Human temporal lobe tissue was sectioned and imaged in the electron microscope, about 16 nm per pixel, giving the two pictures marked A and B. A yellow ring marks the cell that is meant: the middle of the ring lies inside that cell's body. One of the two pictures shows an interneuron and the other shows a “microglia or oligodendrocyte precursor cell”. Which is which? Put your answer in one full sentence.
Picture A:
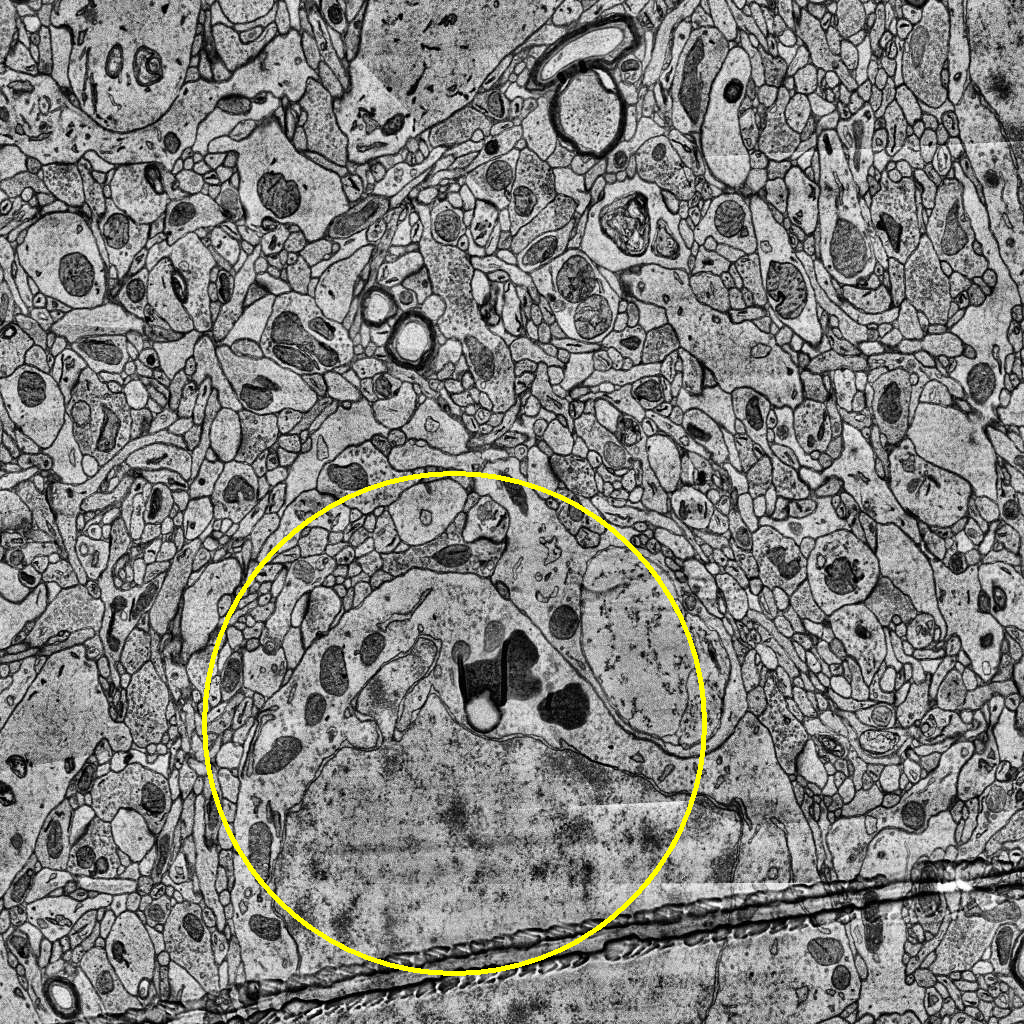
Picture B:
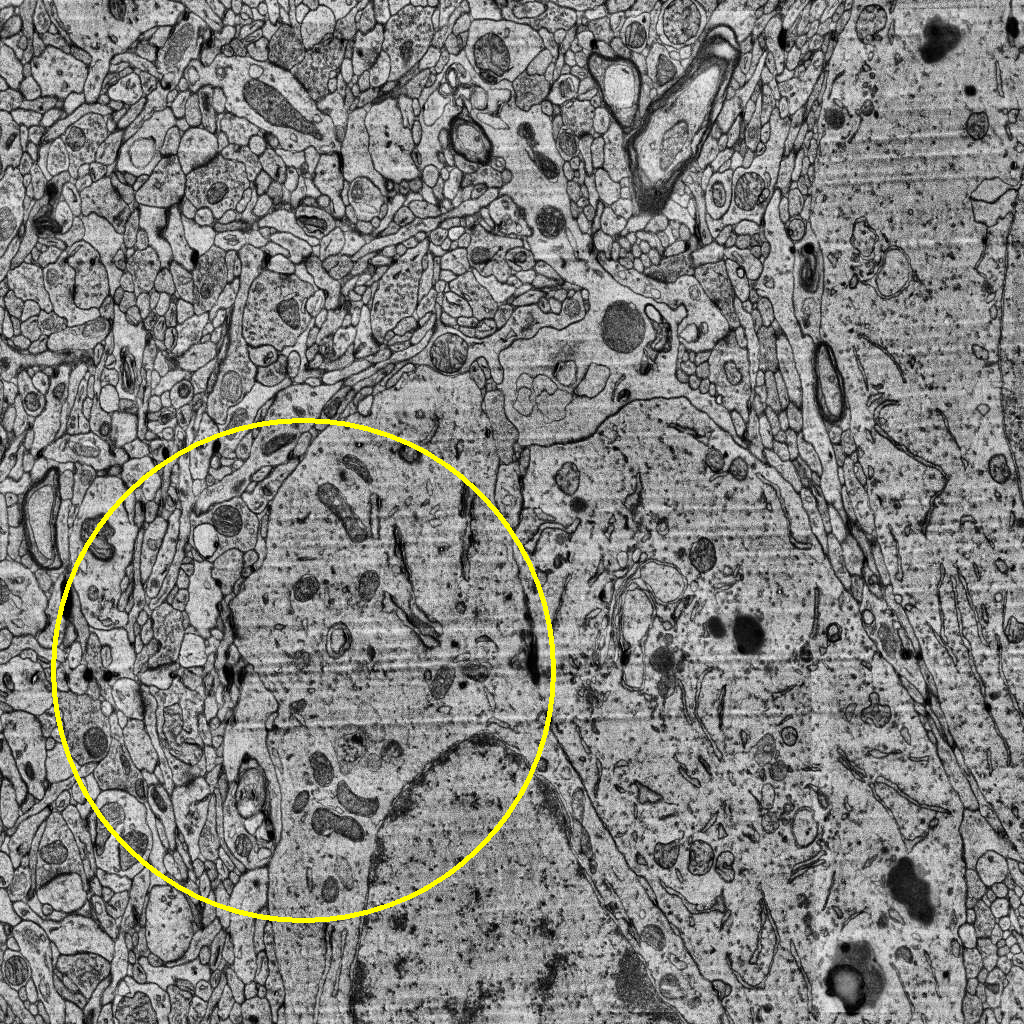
In picture A the cell is an interneuron; in picture B, a “microglia or oligodendrocyte precursor cell”.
